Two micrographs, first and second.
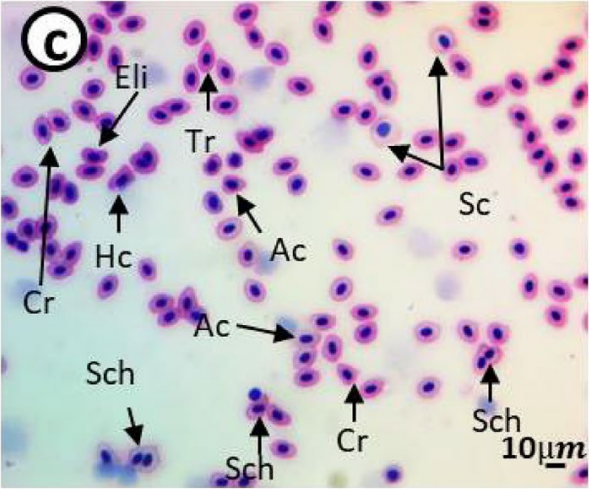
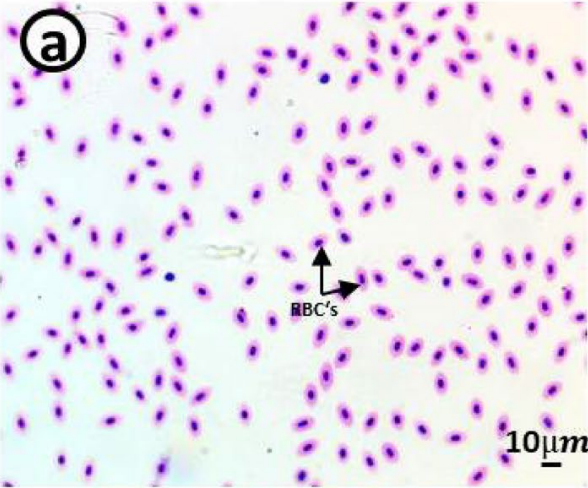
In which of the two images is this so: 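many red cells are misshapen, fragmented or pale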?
The first image.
